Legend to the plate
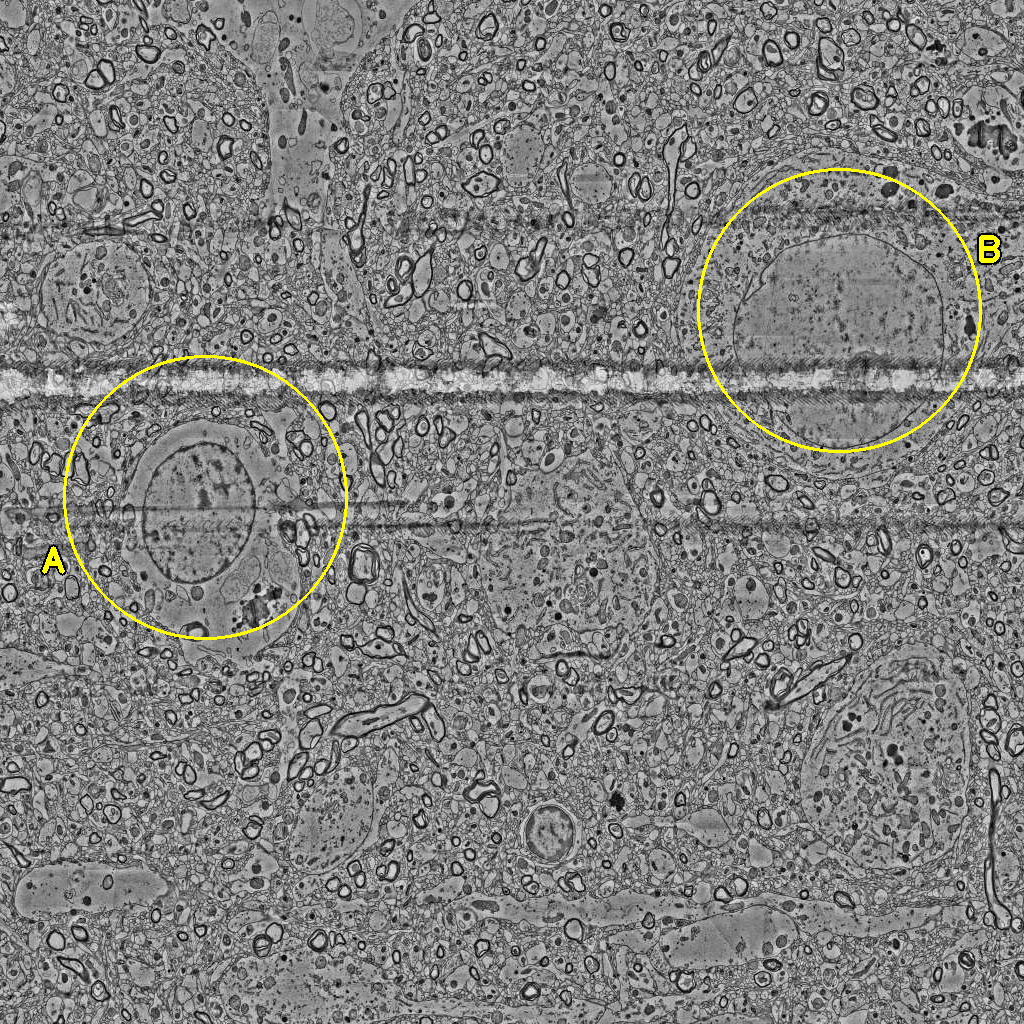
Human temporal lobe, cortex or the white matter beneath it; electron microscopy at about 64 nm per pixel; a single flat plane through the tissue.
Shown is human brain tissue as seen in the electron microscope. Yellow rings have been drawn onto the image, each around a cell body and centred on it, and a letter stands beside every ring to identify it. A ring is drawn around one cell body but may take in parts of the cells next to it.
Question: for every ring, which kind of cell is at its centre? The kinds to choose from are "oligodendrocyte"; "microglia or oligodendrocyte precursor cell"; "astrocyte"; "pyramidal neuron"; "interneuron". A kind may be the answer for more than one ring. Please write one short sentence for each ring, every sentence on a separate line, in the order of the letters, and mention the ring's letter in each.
The kind of cell at the centre of ring A is an astrocyte.
The kind of cell at the centre of ring B is a pyramidal neuron.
